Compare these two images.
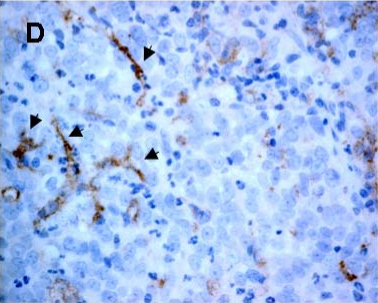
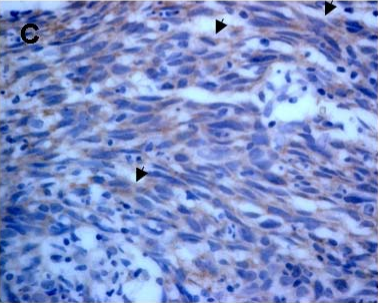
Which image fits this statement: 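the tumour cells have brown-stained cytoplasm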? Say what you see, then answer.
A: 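First image: the tumour cells with large pale nuclei are blue only, brown limited to scattered branching cells. Second image: spindle-shaped tumour cells show a faint brown tinge in their cytoplasm. On this evidence: the second image.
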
